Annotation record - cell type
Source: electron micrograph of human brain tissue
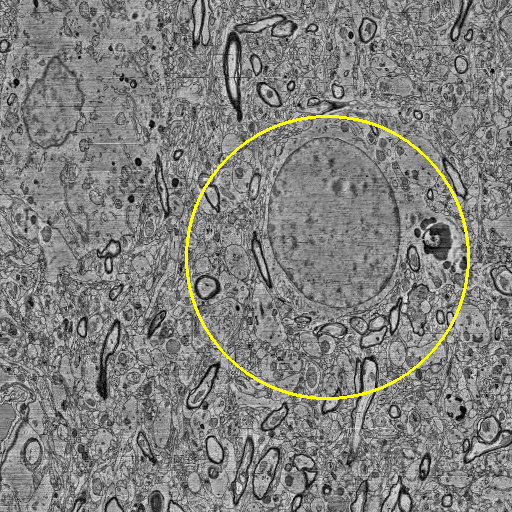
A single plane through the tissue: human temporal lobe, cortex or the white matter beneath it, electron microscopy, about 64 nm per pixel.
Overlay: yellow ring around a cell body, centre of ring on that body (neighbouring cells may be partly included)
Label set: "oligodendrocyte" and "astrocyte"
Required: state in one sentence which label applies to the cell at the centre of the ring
This cell should be labelled as an astrocyte.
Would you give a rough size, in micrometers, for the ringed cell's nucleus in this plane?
Approximately 11 by 8 micrometers in this plane.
